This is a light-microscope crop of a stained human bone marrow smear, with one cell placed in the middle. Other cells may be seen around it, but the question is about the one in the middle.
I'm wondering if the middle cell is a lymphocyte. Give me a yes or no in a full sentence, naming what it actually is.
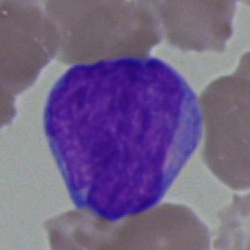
No, wrong label: the middle cell is a blast instead of a lymphocyte.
